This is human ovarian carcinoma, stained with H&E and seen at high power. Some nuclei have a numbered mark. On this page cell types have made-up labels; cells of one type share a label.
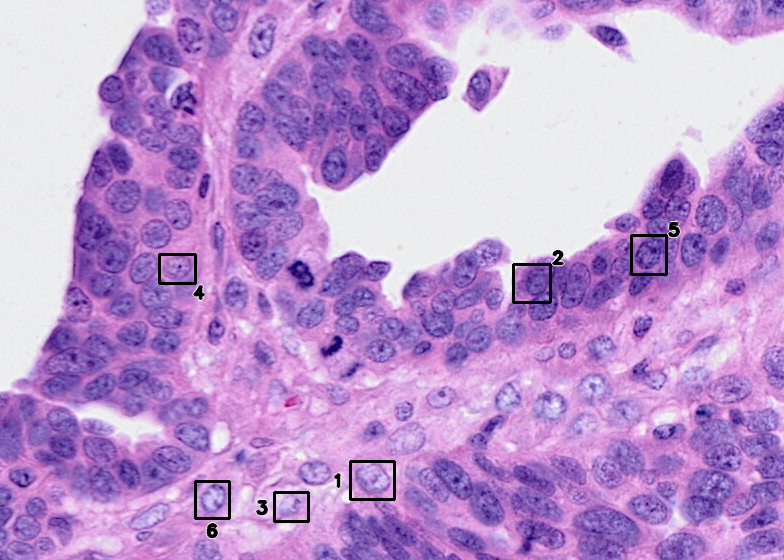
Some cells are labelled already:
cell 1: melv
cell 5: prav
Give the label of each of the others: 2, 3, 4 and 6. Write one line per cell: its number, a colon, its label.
2: prav
3: melv
4: prav
6: melv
